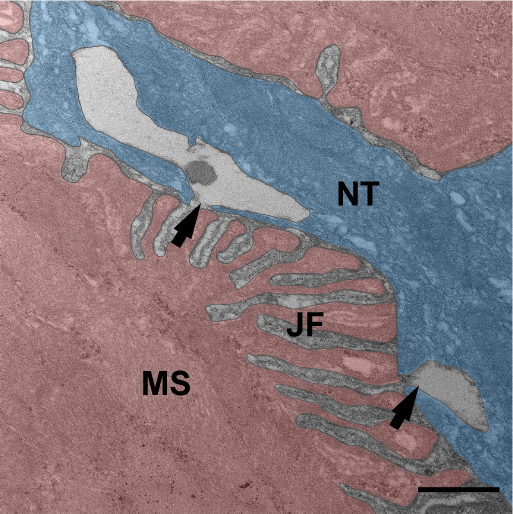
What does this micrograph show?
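This electron micrograph shows a neuromuscular junction in which the nerve terminal, tinted blue, lies along the surface of a muscle fiber, tinted red. Long slender junctional folds extend from the muscle surface into the muscle fiber, in a row beneath the terminal.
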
